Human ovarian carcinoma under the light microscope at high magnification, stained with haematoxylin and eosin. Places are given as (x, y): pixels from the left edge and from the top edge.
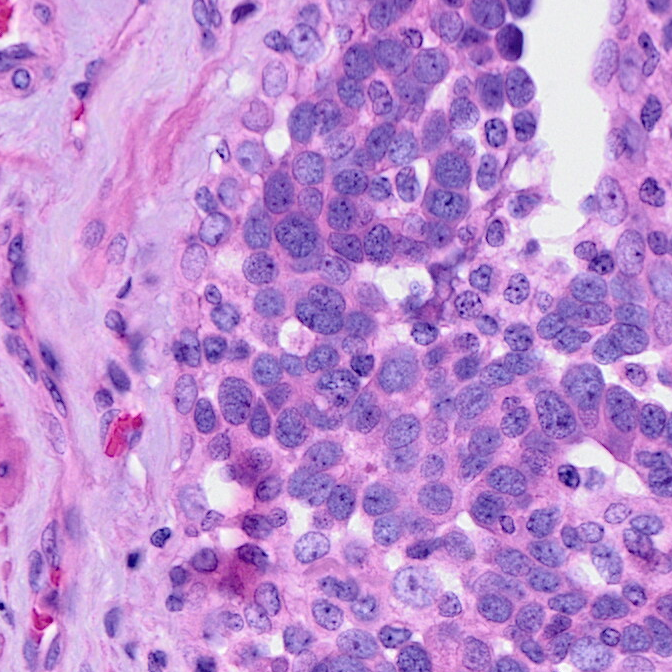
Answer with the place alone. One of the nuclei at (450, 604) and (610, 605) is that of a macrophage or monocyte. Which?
(450, 604)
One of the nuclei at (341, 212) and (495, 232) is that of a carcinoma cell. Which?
(341, 212)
